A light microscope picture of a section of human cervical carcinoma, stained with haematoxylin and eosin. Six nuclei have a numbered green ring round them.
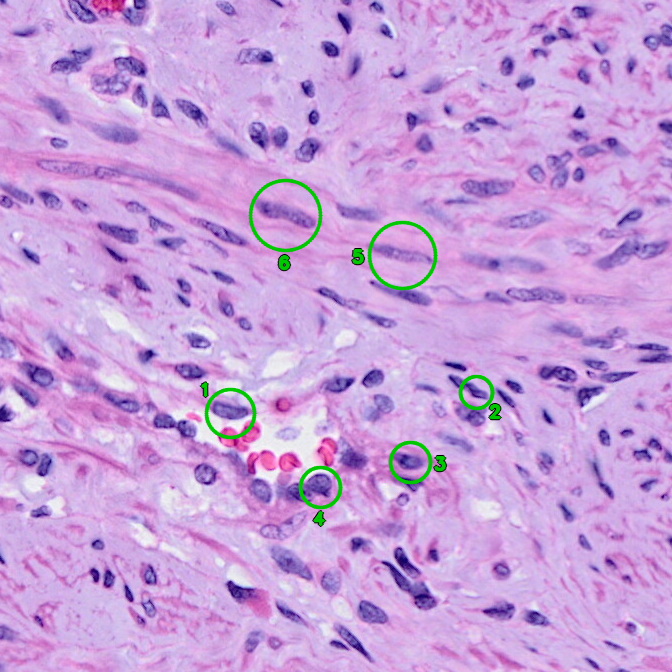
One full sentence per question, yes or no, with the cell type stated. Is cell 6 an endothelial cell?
No, the nucleus numbered 6 belongs to a smooth muscle cell, not an endothelial cell.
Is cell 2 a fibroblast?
Yes, in this section the cell with number 2 is a fibroblast.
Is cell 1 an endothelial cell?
Yes, the cell carrying label 1 is an endothelial cell.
